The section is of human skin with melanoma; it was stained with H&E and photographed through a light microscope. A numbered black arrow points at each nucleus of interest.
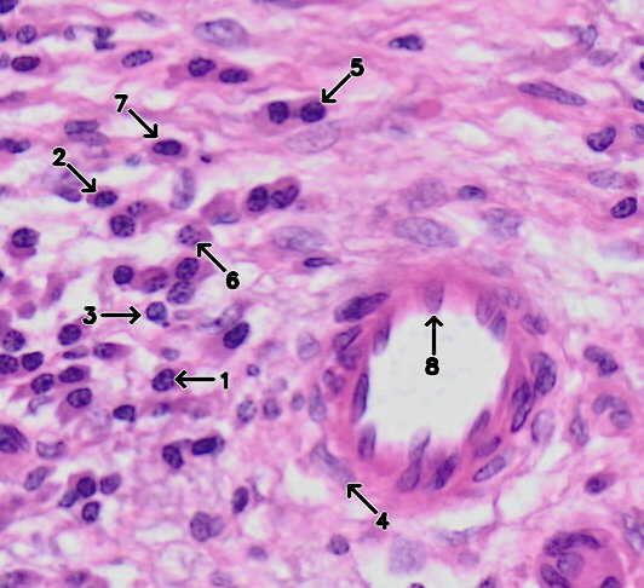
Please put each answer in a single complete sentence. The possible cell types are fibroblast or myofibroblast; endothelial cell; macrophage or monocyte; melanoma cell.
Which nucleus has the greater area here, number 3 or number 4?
Of the two, number 4 is bigger and takes up about 2 times the area of number 3.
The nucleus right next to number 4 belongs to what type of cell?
The nearest nucleus to number 4 belongs to an endothelial cell.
